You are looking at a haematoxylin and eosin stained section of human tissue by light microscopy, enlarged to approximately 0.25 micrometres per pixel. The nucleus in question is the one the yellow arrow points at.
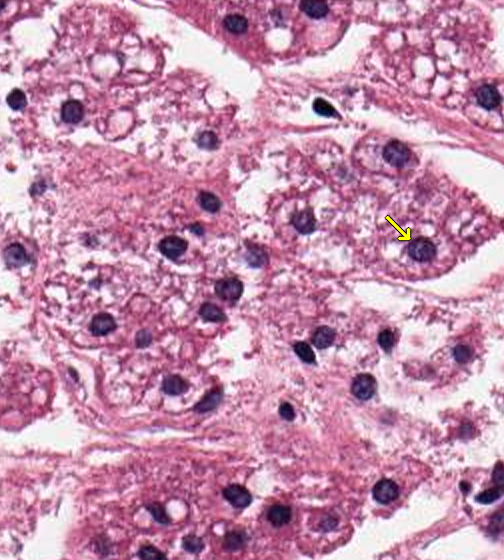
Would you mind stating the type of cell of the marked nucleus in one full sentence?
The nucleus that the mark indicates belongs to an adrenal cortical cell.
